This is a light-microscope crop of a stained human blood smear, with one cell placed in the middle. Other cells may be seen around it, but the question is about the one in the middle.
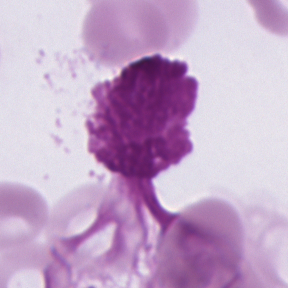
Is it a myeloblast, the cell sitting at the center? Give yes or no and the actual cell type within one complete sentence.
No, it is a smudge cell that sits in the middle, not a myeloblast.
